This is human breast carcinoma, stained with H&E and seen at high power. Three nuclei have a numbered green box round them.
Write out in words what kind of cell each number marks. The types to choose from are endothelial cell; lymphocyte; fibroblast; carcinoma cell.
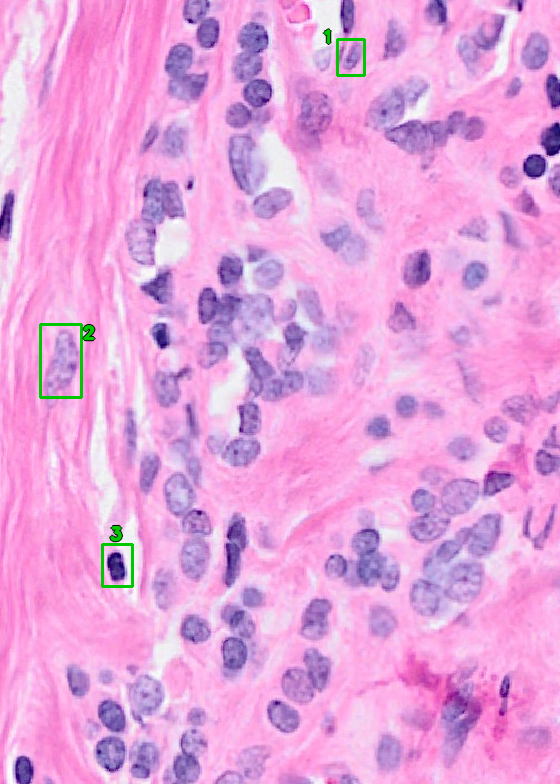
Cell 1 is an endothelial cell, cell 2 is a fibroblast and cell 3 is a lymphocyte.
